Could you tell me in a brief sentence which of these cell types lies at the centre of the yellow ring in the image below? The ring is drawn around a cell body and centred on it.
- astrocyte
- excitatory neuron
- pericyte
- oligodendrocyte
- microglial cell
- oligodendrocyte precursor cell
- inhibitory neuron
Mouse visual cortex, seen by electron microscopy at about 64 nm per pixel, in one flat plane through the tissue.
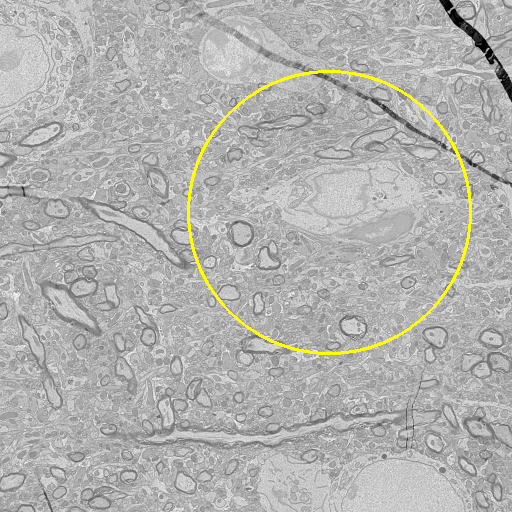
The cell centred in the ring is a microglial cell.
